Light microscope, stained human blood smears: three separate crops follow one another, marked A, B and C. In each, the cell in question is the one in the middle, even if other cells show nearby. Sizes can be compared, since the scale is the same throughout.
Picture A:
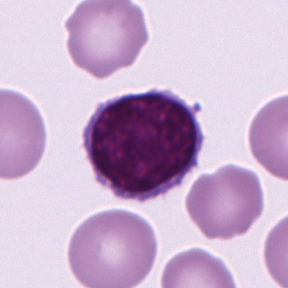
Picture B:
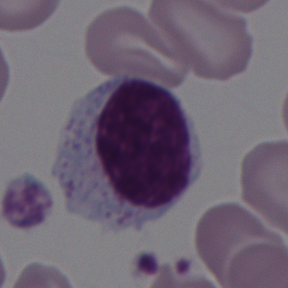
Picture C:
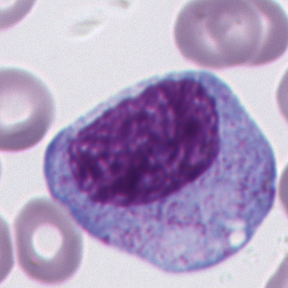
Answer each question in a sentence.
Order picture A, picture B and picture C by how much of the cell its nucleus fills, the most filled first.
The most filled comes first: A, B, C.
